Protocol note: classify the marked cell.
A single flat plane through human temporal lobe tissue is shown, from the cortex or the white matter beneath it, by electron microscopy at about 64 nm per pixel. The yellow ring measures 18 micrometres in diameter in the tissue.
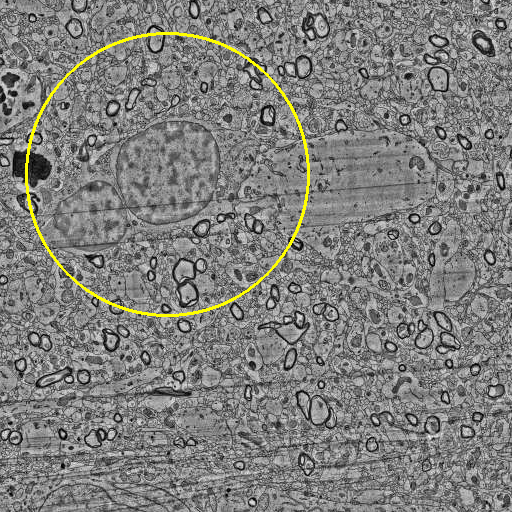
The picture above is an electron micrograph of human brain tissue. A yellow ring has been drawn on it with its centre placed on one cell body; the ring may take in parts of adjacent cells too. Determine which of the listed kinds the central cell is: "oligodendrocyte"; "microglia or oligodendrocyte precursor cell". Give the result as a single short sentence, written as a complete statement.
The central cell is an oligodendrocyte.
